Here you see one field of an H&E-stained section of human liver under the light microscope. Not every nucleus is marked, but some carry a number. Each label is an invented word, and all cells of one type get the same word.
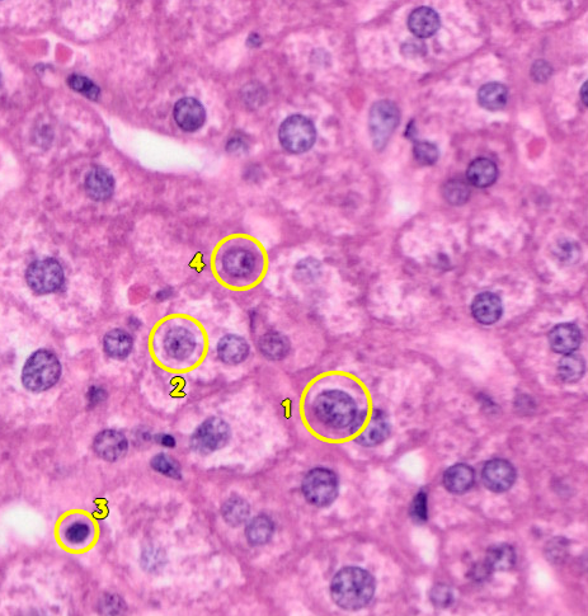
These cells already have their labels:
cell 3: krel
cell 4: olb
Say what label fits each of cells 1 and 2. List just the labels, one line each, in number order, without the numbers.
olb
olb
